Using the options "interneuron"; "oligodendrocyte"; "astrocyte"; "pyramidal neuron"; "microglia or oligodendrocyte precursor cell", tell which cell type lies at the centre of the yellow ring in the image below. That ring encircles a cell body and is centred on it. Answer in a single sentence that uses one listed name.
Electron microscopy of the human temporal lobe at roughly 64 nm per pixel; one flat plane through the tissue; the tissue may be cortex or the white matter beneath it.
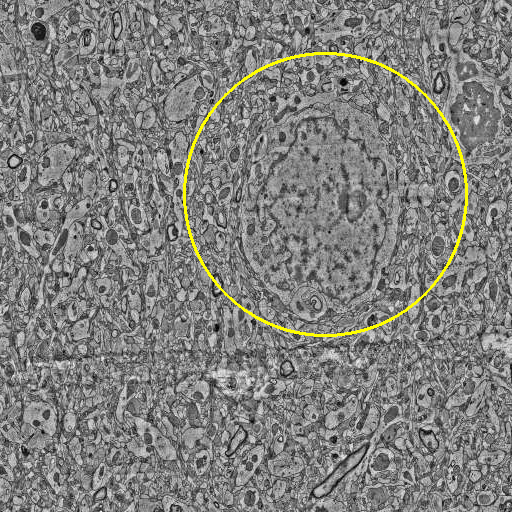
At the centre of the yellow ring lies the body of an interneuron.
